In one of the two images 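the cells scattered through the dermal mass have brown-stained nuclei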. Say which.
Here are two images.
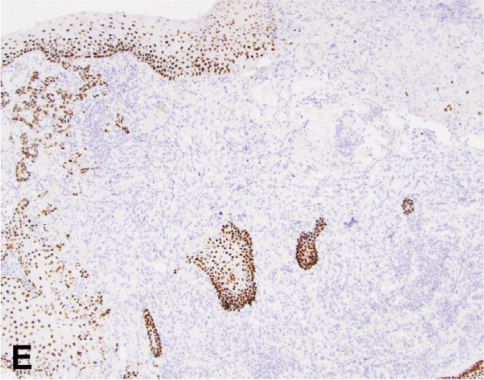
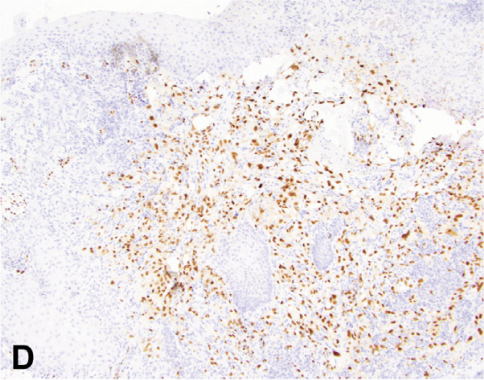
the second image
